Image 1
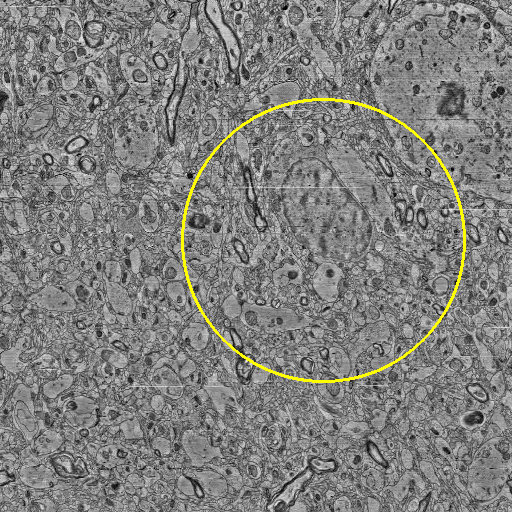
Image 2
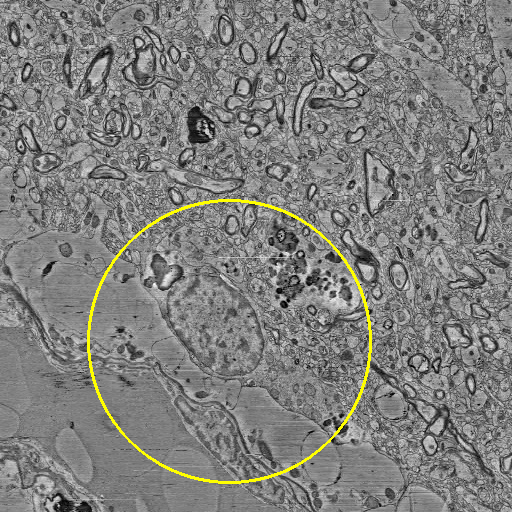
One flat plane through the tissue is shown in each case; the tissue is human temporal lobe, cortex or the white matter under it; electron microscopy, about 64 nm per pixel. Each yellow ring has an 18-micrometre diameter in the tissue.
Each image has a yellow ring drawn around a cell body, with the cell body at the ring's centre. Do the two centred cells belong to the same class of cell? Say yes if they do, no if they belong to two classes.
yes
